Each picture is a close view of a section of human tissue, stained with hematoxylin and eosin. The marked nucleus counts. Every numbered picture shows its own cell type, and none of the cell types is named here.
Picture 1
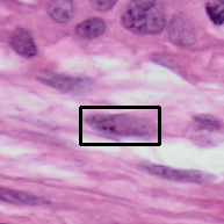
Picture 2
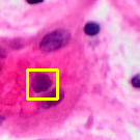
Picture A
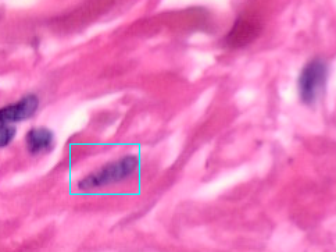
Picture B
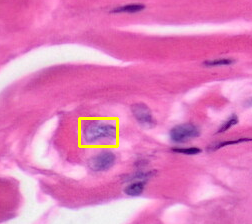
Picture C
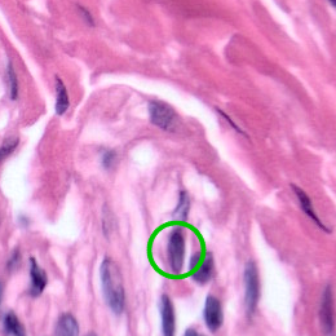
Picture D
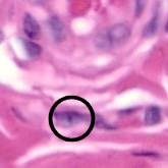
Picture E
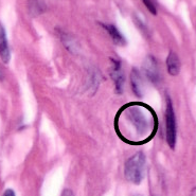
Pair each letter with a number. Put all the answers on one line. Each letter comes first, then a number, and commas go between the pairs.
A 1, B 2, C 2, D 2, E 2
